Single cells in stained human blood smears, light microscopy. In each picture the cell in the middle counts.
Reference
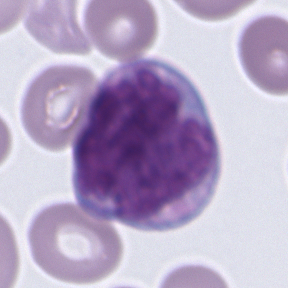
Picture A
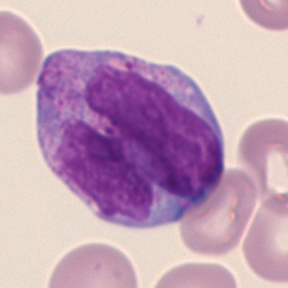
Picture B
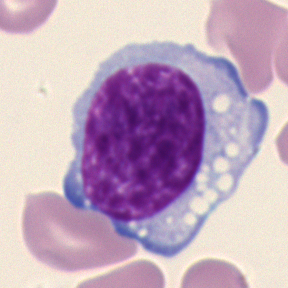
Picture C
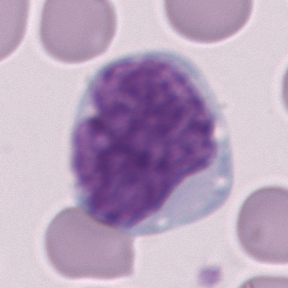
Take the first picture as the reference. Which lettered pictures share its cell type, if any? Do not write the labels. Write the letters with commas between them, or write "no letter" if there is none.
A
